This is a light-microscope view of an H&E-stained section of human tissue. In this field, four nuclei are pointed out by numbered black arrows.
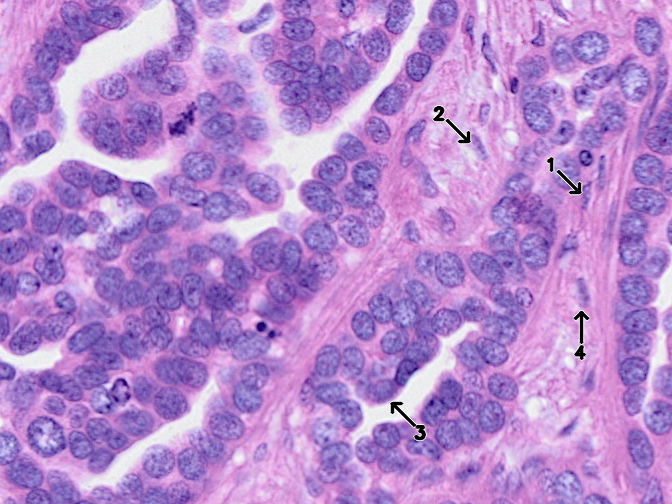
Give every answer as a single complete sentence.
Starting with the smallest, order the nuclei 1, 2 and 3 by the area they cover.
From smallest to largest, the order is 1, 2, 3.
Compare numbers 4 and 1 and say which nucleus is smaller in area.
Number 1 is smaller, since number 4 takes up about 2 times as much area.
